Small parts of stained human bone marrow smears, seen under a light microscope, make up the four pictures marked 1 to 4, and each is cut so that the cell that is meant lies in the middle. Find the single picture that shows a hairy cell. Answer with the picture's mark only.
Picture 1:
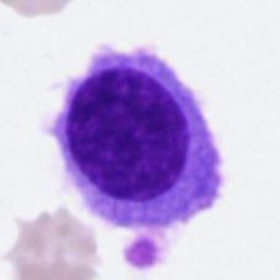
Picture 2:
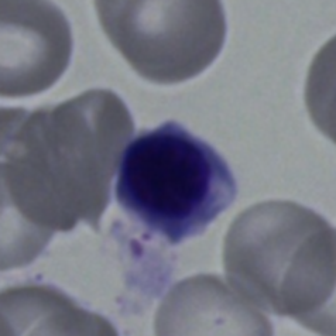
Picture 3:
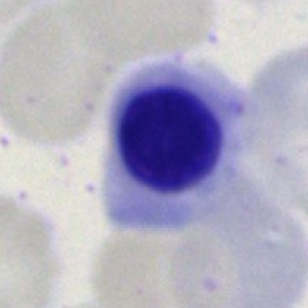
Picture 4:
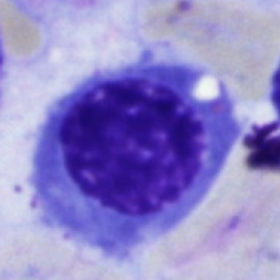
1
